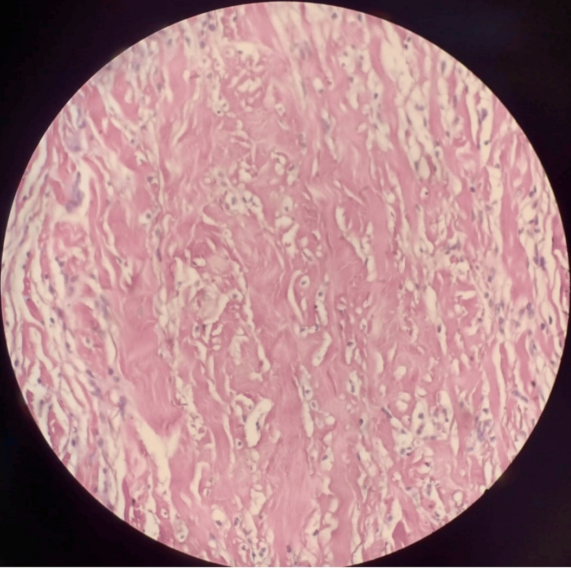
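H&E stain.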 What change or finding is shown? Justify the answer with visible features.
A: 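Eosinophilic, hyalinized, degenerated collagen bundles. Thick, glassy, deep pink fibre bundles fill the field. The bundles look smudged and homogeneous rather than crisply fibrillar. Scattered small nuclei lie in pale clefts between the bundles.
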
